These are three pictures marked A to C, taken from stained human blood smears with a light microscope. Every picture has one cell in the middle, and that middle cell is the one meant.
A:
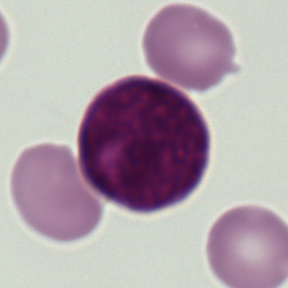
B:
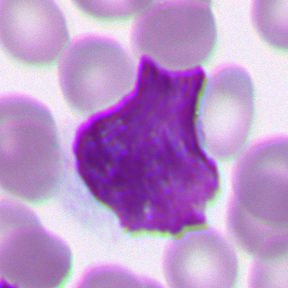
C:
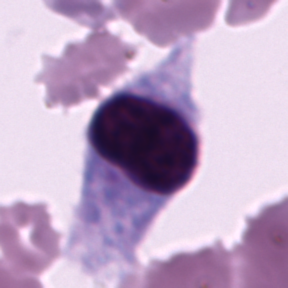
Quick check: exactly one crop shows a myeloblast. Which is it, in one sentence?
Of the cells presented, the one in crop A is a myeloblast.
